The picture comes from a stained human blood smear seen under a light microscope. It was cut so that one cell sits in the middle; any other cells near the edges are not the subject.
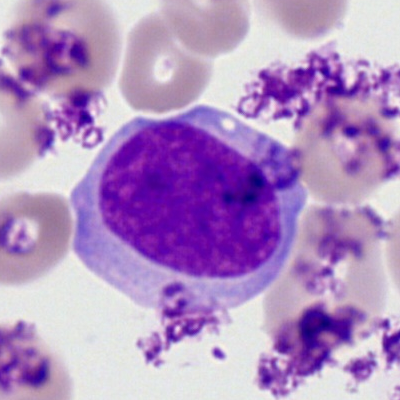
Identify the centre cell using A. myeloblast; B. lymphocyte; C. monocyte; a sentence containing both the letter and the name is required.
It is a myeloblast that occupies the centre of the crop, so option A is correct.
